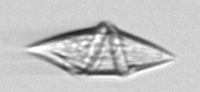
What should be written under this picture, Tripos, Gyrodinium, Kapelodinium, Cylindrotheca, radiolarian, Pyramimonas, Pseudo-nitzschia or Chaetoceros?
Gyrodinium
